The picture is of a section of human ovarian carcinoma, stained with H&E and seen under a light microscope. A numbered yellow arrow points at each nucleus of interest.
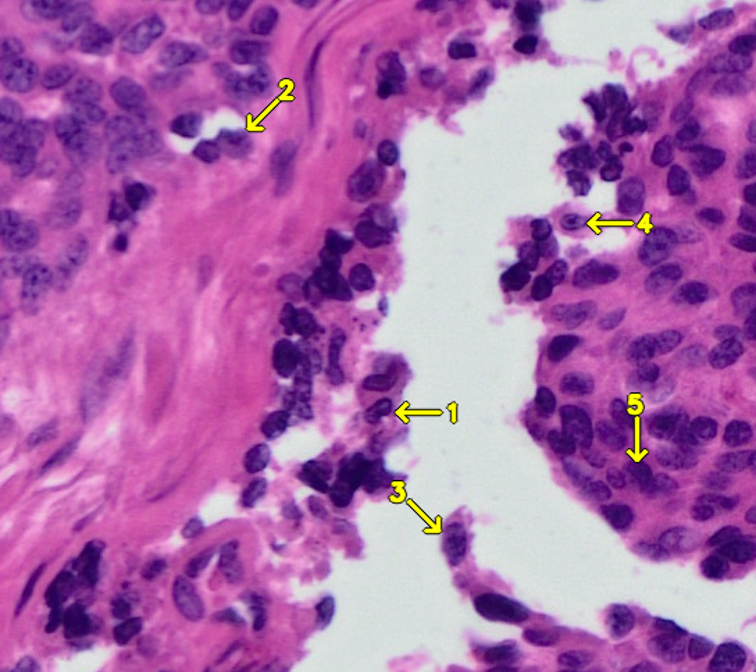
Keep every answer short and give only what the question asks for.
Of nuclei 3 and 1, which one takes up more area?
3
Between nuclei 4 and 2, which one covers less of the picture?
4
